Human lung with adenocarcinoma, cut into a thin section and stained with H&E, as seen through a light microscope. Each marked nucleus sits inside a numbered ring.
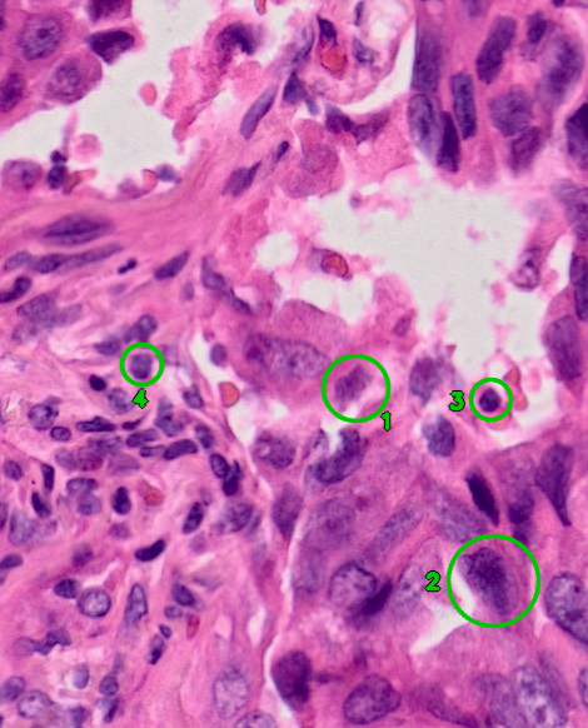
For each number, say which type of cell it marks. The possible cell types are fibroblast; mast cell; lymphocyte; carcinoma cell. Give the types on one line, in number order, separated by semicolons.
carcinoma cell; carcinoma cell; lymphocyte; lymphocyte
